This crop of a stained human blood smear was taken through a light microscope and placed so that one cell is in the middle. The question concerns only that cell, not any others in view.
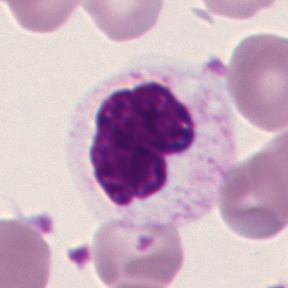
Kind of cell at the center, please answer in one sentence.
Within this crop, a segmented neutrophil occupies the central position.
